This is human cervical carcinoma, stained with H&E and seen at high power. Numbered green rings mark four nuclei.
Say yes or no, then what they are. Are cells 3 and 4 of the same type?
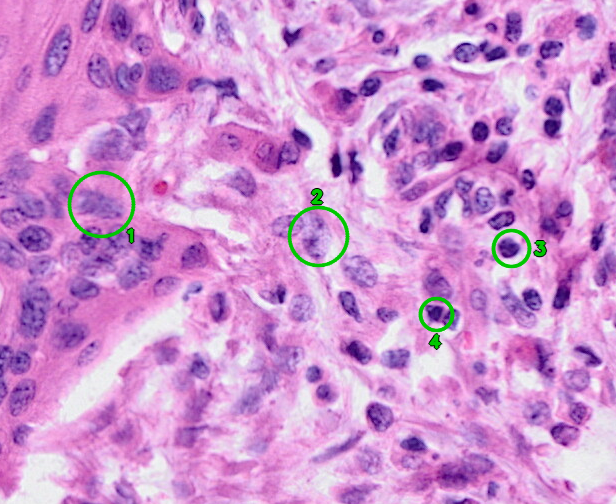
Yes, the two numbered cells 3 and 4 are both lymphocytes.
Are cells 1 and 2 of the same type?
No, cell 1 is a squamous carcinoma cell, while cell 2 is a fibroblast.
